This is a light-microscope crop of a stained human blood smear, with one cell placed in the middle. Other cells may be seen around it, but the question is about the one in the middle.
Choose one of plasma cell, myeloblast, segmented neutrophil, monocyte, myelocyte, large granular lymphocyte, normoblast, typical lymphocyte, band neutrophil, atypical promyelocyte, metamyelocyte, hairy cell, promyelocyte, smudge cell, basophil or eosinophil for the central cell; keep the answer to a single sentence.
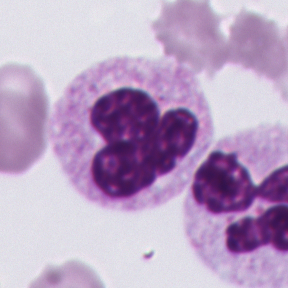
The middle of this crop is occupied by a segmented neutrophil.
